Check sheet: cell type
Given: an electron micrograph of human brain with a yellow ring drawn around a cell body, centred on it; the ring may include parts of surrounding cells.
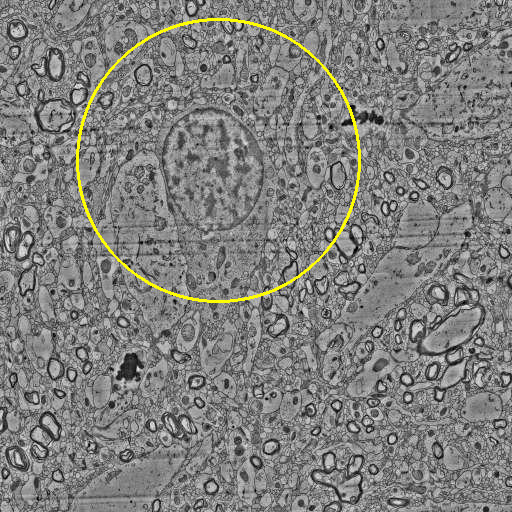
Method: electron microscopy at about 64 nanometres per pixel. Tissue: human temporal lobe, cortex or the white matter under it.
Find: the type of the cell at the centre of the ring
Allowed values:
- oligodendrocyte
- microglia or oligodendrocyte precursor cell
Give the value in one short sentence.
Here the ringed cell is an oligodendrocyte.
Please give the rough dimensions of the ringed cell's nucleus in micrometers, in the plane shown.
In this plane the nucleus measures roughly 8 by 7 micrometers.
